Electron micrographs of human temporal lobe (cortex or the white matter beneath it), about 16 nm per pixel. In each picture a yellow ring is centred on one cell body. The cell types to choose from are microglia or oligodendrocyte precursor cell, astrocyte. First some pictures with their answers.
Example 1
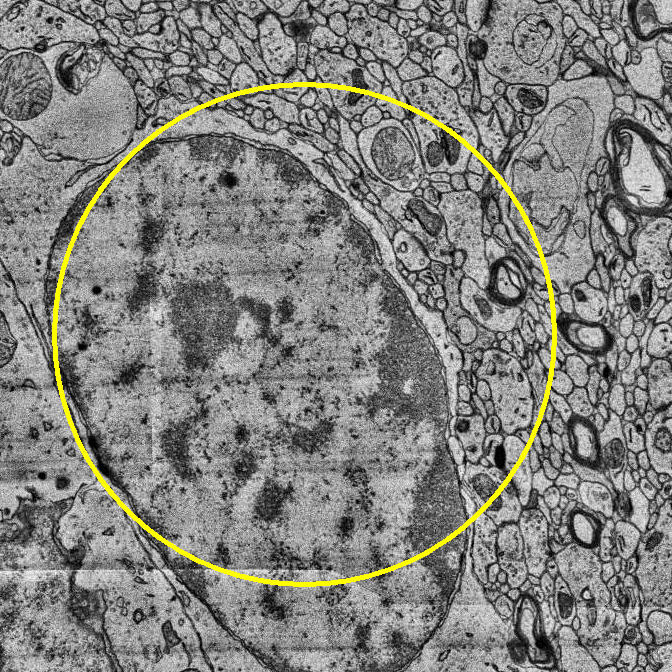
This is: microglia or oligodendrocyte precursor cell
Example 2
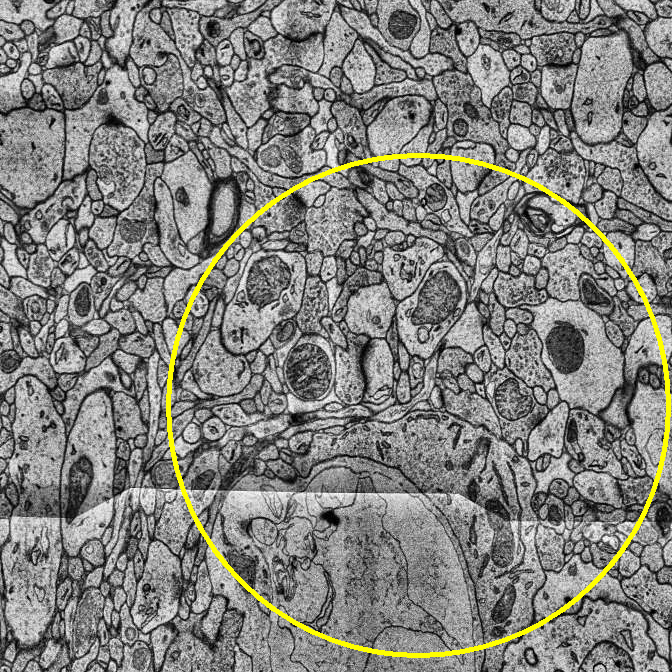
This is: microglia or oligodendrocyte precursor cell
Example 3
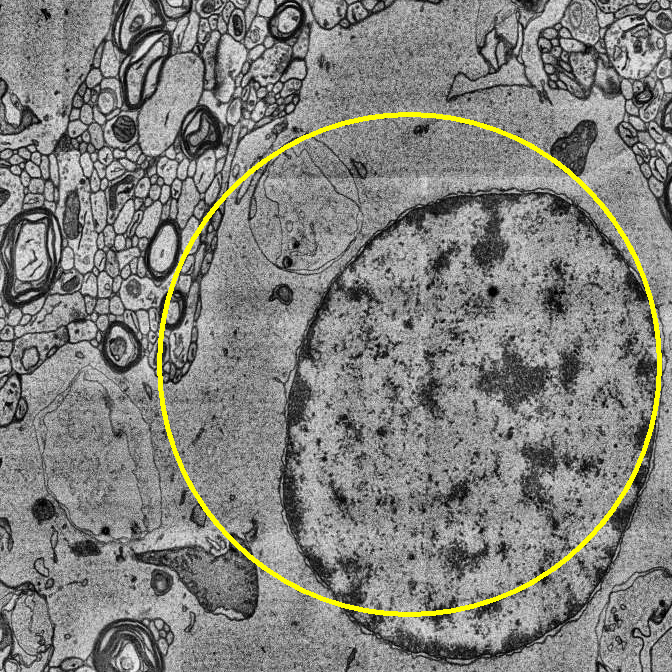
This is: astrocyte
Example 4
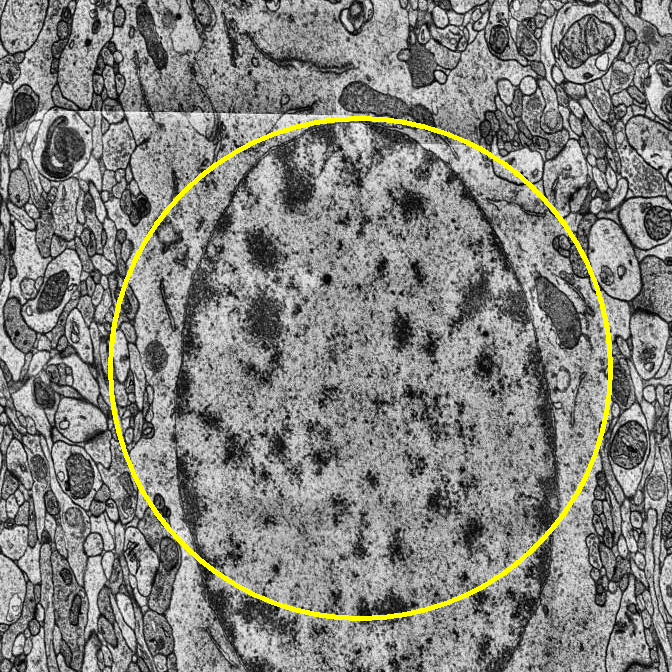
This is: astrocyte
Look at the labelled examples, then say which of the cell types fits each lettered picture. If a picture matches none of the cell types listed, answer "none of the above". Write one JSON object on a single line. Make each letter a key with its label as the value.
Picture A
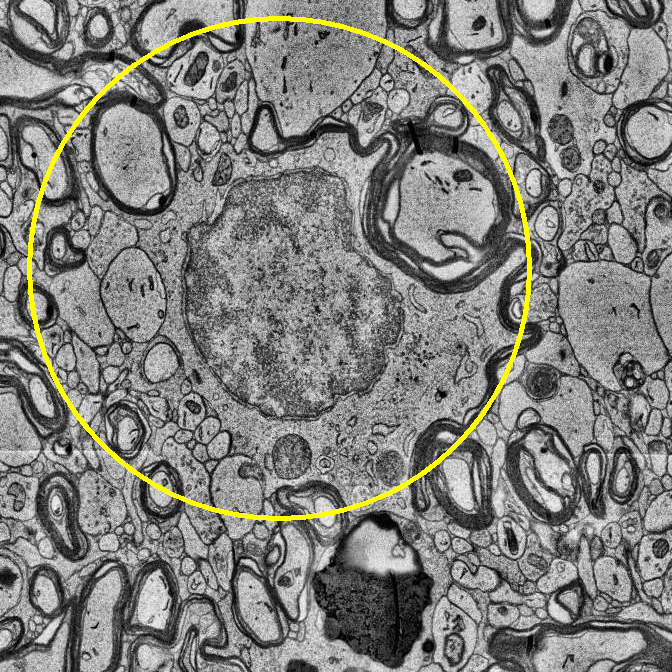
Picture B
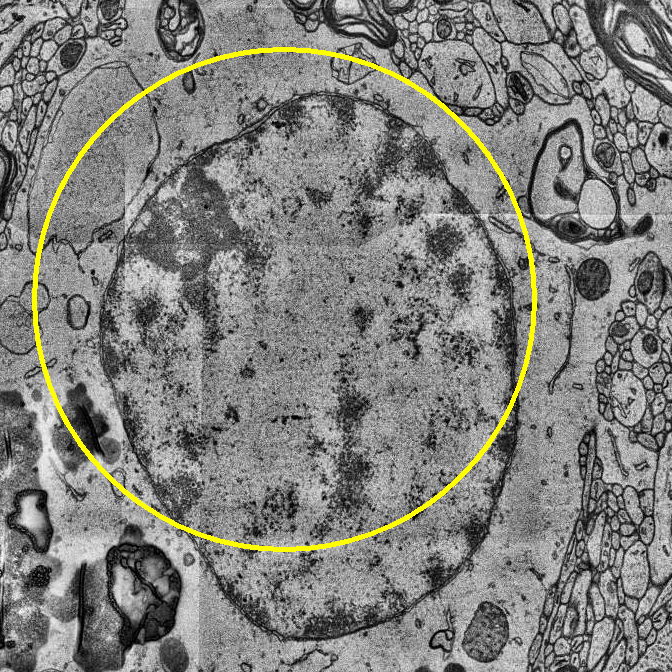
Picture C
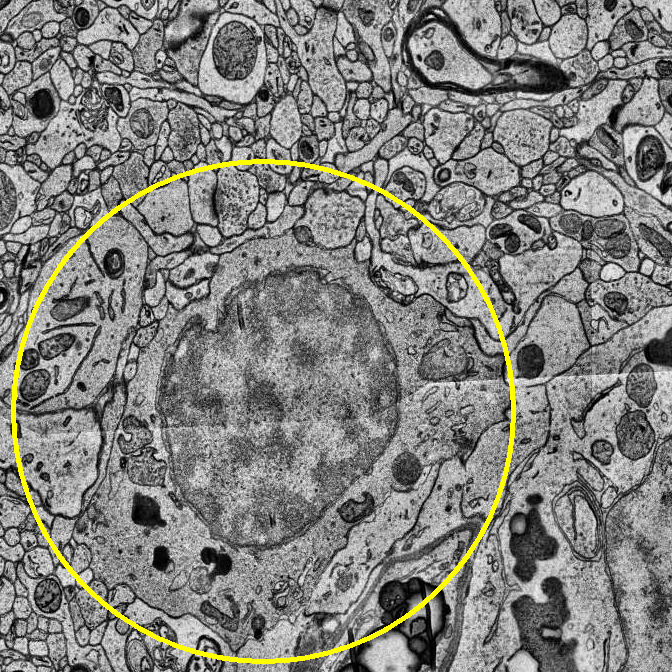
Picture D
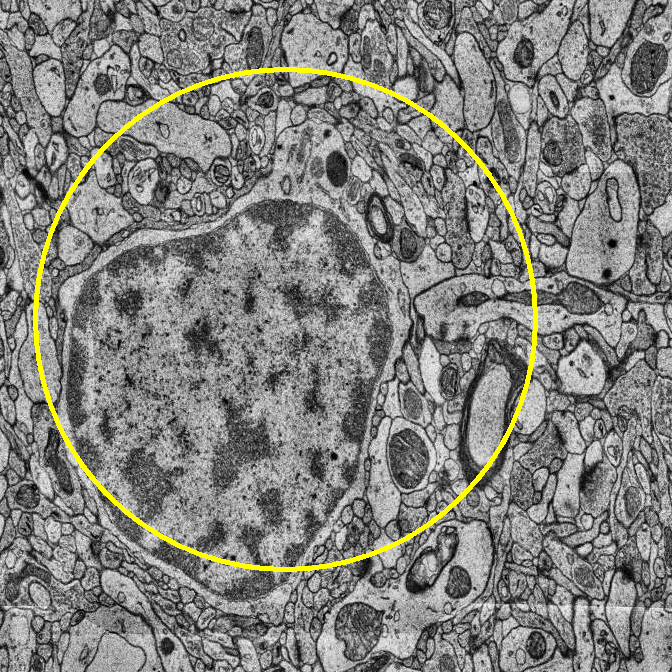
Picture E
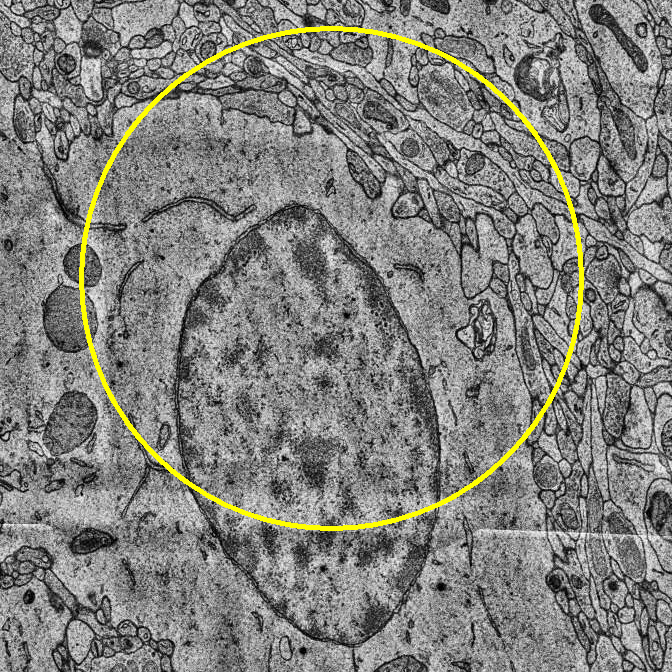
{"A": "none of the above", "B": "astrocyte", "C": "none of the above", "D": "microglia or oligodendrocyte precursor cell", "E": "astrocyte"}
